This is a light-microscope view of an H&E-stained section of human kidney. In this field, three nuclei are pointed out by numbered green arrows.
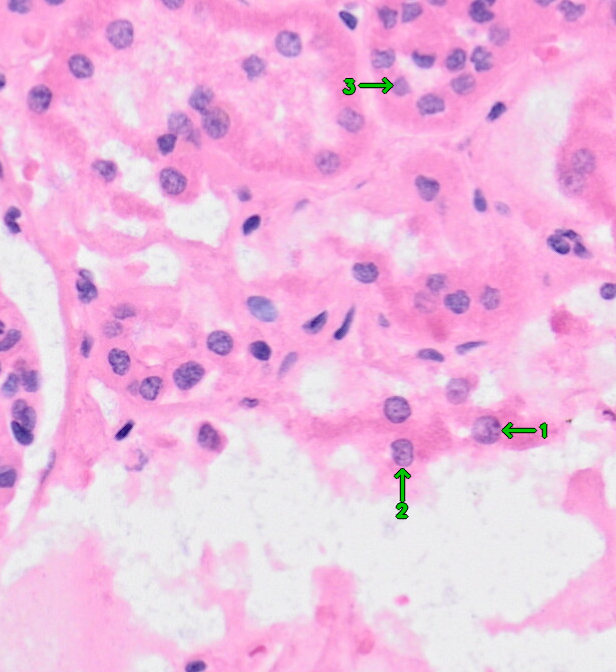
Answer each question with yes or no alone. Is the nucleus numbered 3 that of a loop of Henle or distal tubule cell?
yes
